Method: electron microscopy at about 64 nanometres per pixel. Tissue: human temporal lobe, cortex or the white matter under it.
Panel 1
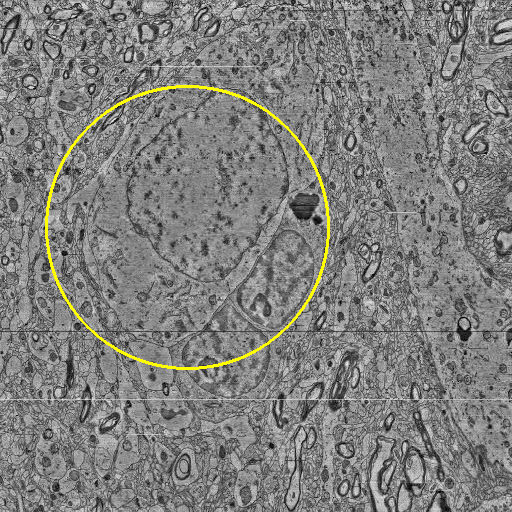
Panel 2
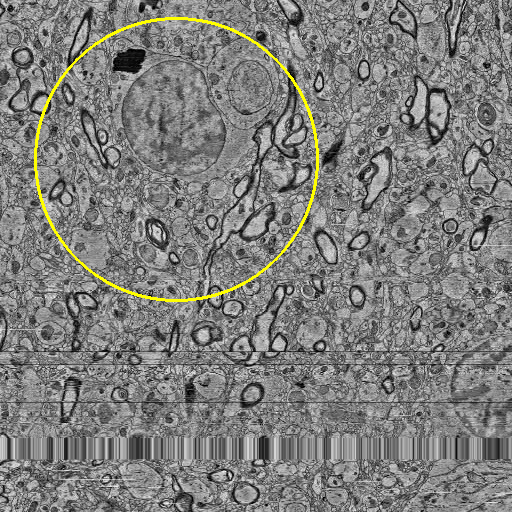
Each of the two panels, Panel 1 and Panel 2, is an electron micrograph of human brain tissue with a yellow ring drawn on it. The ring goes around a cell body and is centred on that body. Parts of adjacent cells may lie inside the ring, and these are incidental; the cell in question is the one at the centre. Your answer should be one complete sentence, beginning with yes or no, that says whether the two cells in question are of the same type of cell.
No, the two cells are of two types.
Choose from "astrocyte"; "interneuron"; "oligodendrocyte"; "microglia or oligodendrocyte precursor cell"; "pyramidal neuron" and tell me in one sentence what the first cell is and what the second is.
What the first ring is centred on is an interneuron; what the second ring is centred on is an oligodendrocyte.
